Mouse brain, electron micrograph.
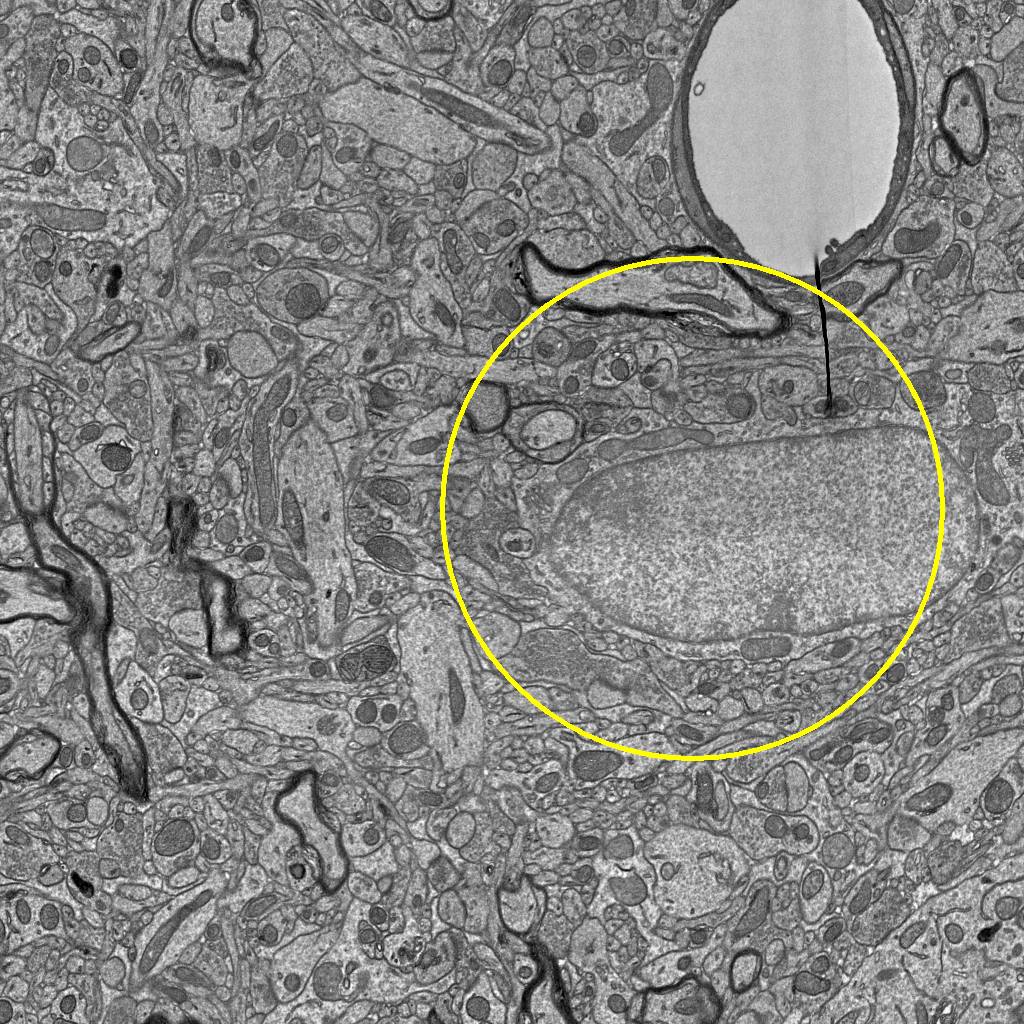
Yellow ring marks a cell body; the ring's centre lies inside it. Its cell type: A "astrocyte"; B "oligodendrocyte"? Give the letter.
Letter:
A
